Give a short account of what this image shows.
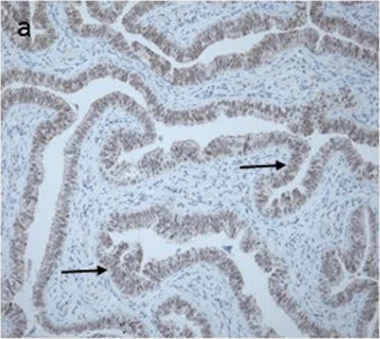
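This is fallopian tube mucosa, thrown into long branching folds that are lined by a single layer of tall columnar epithelial cells. The epithelial cells carry brown-stained nuclei and cytoplasm, while the loose spindle-celled stroma in the fold cores shows mostly blue nuclei.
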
